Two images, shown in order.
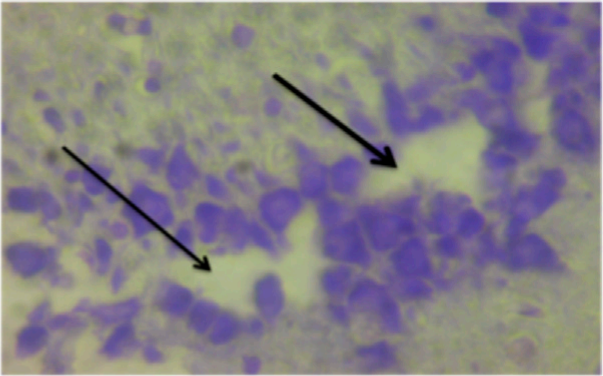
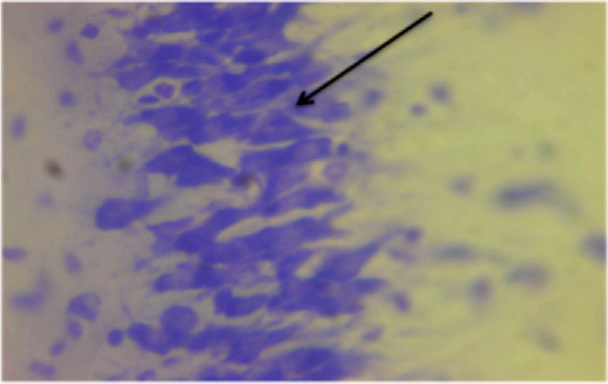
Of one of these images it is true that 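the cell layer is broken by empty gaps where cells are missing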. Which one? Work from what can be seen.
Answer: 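First image: large pale empty spaces interrupt the band of purple cells. The answer: the first image.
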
